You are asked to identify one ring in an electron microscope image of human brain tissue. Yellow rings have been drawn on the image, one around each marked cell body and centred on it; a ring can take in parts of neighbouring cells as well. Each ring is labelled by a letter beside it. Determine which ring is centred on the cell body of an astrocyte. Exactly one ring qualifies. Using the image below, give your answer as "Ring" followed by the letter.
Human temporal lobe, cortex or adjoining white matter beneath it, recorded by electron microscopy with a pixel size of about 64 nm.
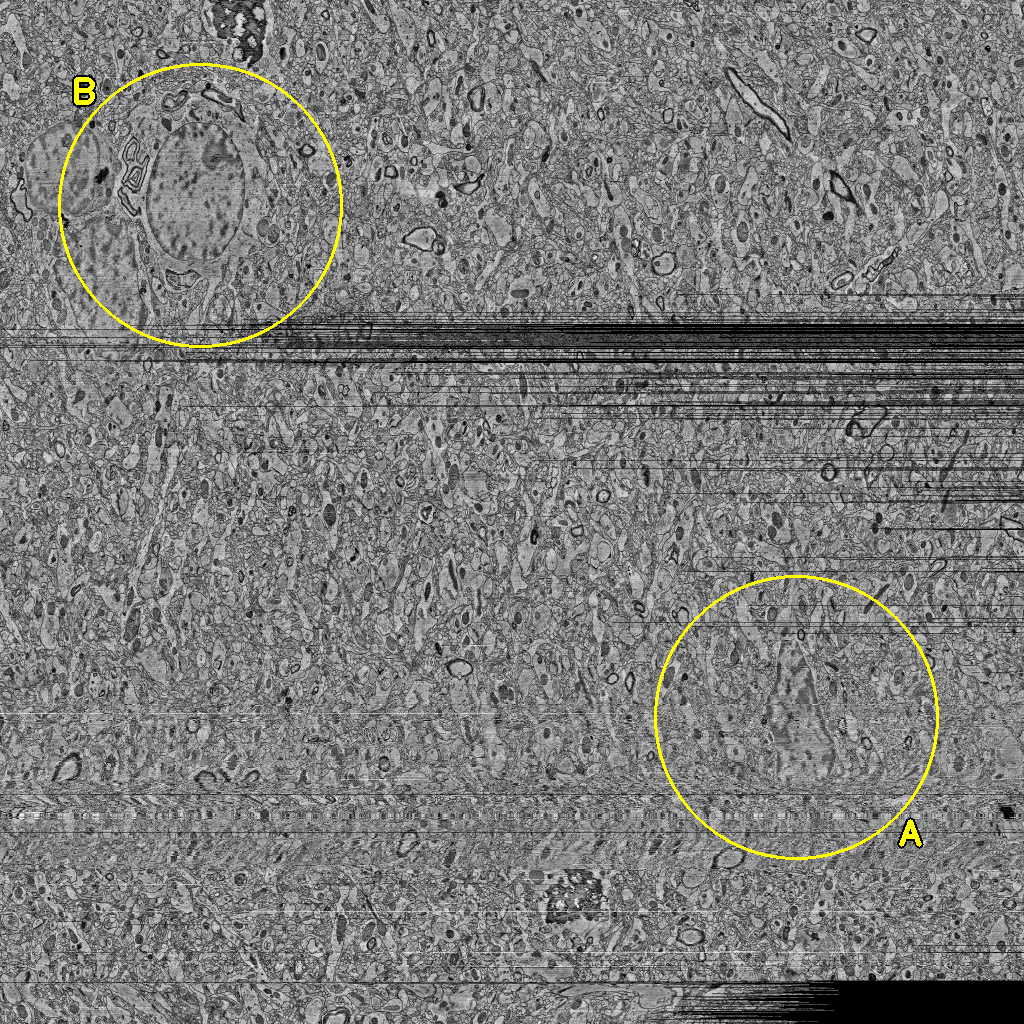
Ring B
